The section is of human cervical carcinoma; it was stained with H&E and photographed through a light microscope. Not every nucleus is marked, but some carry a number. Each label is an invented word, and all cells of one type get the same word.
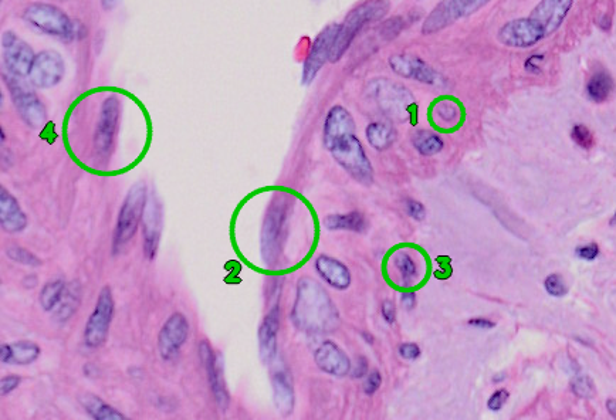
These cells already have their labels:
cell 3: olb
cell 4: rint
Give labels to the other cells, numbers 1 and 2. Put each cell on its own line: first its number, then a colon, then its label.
1: olb
2: rint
